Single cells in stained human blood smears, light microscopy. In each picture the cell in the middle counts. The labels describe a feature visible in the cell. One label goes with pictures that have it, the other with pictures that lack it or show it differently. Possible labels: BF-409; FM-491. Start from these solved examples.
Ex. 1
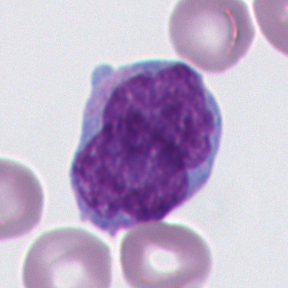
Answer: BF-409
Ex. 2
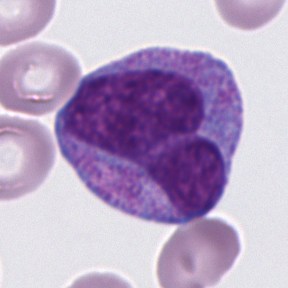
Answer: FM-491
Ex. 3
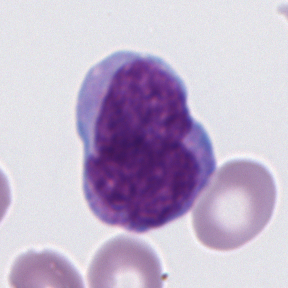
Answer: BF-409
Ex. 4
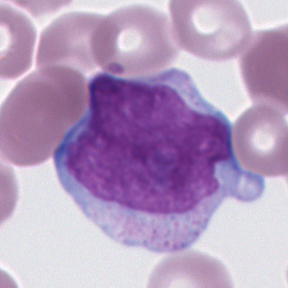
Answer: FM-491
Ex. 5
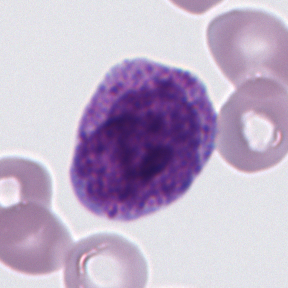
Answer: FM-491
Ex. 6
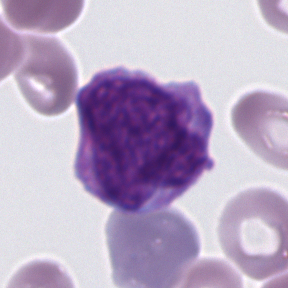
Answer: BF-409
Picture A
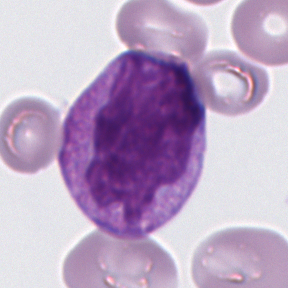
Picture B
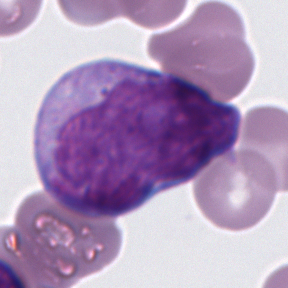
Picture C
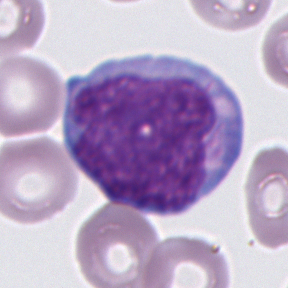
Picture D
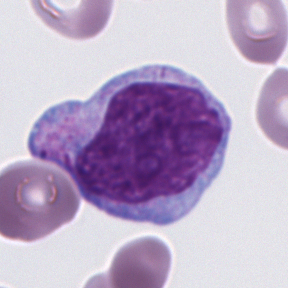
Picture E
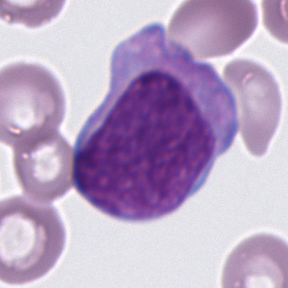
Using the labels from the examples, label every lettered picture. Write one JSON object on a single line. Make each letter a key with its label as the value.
{"A": "FM-491", "B": "BF-409", "C": "BF-409", "D": "FM-491", "E": "BF-409"}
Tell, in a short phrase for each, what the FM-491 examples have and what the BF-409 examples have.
Seen in FM-491: many visible granules; seen in BF-409: no visible granules.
